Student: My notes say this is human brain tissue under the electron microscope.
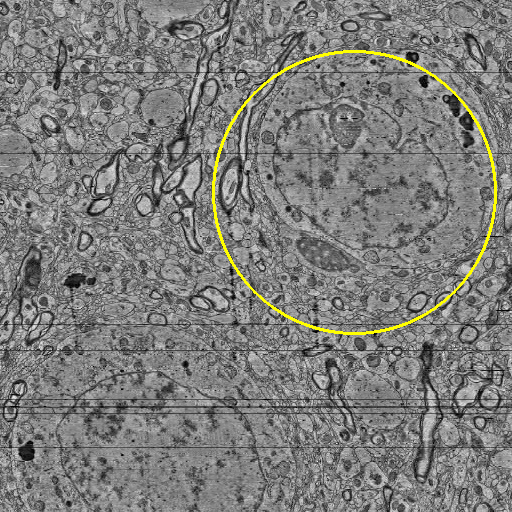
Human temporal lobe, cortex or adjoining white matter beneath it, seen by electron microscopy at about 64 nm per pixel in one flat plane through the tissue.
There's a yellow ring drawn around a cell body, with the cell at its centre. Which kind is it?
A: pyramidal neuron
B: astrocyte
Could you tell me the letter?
A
